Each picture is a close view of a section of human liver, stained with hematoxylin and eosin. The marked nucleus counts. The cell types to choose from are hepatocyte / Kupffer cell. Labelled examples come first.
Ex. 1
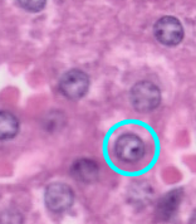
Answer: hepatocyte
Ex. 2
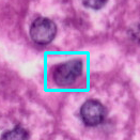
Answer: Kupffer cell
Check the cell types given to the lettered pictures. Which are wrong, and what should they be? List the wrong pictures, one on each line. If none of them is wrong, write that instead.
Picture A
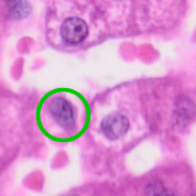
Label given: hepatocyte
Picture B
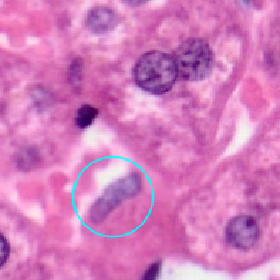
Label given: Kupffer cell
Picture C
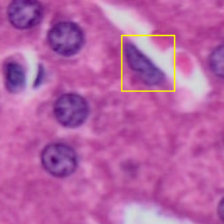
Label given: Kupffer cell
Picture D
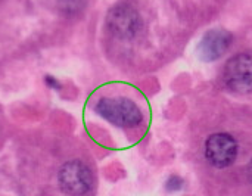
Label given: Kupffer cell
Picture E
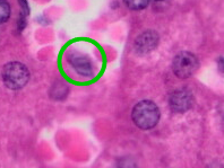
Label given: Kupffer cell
A should be Kupffer cell, not hepatocyte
